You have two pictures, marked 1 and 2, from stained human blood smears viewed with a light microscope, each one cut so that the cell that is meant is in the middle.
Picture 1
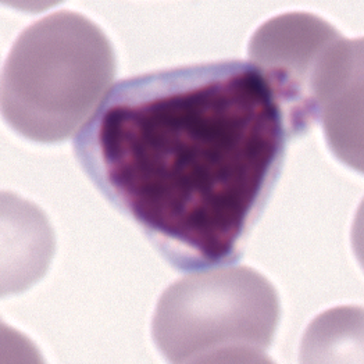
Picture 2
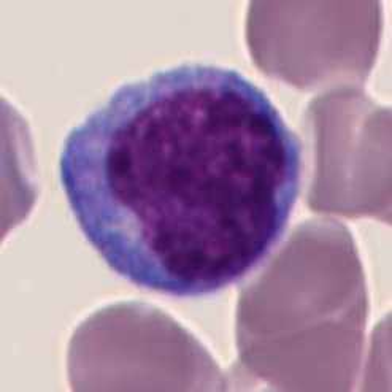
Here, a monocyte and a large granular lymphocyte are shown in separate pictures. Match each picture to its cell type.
1: large granular lymphocyte
2: monocyte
